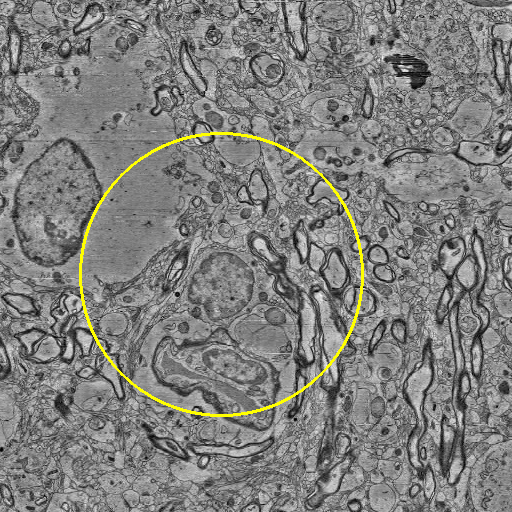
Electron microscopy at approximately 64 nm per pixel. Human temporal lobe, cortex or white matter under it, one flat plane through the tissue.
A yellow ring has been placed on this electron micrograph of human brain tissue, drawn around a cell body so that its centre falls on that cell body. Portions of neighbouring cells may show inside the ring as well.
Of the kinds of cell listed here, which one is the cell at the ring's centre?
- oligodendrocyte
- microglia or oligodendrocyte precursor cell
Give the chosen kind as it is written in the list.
oligodendrocyte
